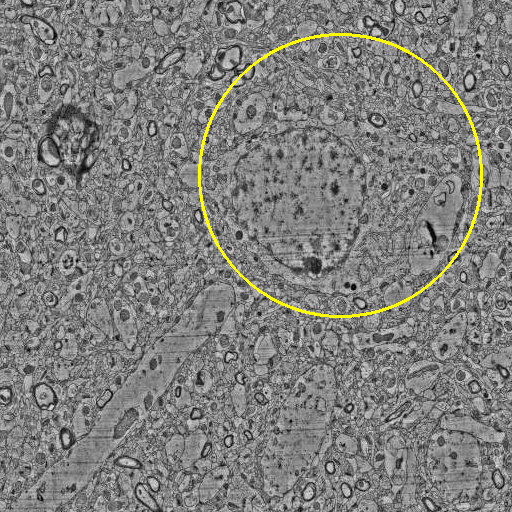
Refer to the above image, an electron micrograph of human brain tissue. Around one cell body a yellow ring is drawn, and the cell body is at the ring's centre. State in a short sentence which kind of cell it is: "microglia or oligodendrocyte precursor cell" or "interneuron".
The centre of the ring falls on an interneuron.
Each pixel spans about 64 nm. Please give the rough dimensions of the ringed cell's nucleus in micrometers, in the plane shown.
The nucleus measures about 9 micrometers across in this plane.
